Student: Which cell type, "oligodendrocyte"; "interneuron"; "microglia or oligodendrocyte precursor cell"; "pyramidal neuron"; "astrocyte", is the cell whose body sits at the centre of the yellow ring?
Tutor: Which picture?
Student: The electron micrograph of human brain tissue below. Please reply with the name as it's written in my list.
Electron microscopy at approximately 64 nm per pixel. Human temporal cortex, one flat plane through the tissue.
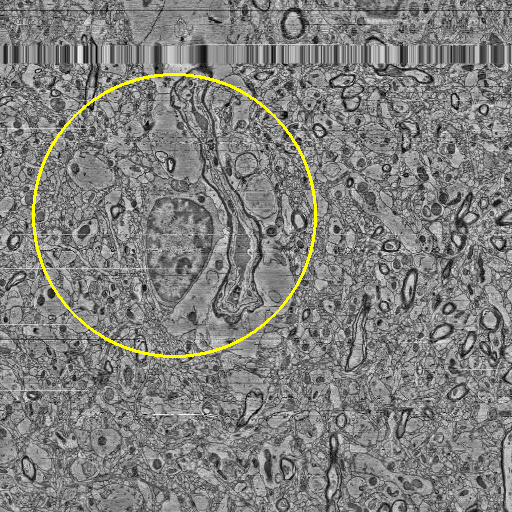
oligodendrocyte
